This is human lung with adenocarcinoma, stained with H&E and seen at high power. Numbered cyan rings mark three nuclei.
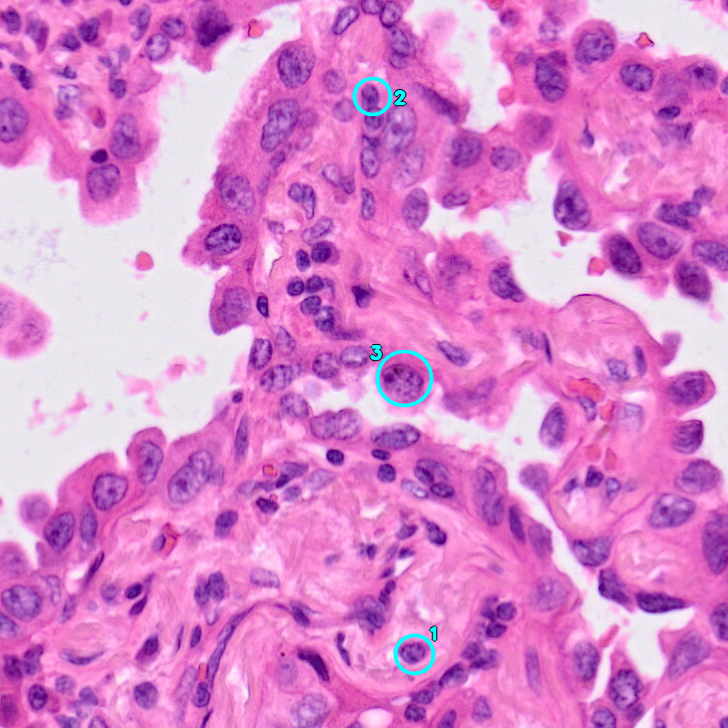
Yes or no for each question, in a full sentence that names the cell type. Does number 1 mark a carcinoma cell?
No, it is not a carcinoma cell that bears number 1 but a plasma cell.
